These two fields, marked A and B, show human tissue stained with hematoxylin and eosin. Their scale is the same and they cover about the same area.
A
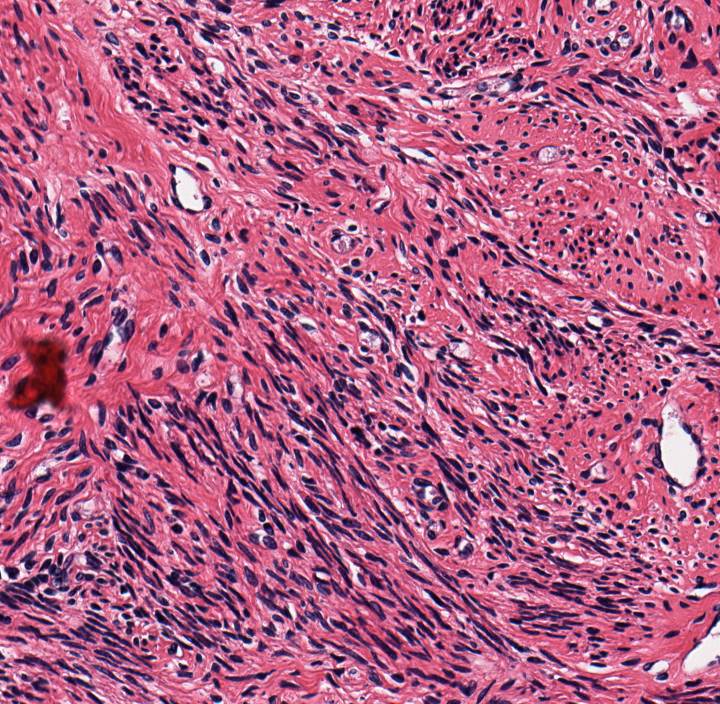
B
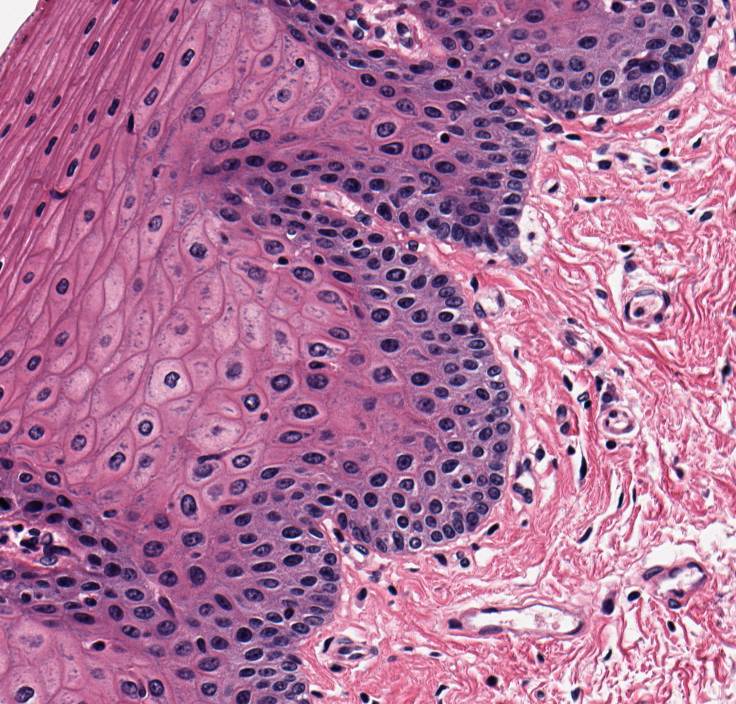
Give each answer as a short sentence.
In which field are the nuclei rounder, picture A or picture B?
The nuclei are rounder in picture B.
